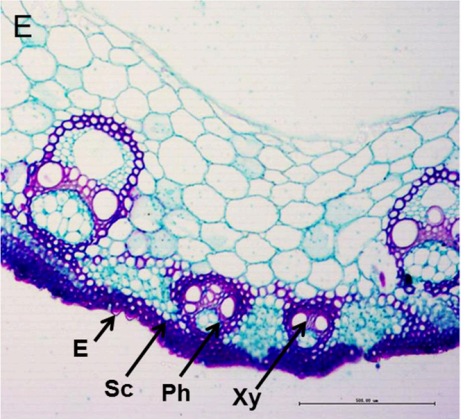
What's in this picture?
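This is a cross section through a plant organ, with large, thin-walled, polygonal cells filling most of the section and stained blue-green. Along the lower edge runs the epidermis, with a band of small sclerenchyma cells beneath it whose walls stain deep purple to magenta. Vascular bundles sit in this band and deeper in the tissue, each with a few wide, round xylem vessels beside a cluster of small phloem cells. The bundles are ringed by thick-walled cells that stain deep purple.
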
